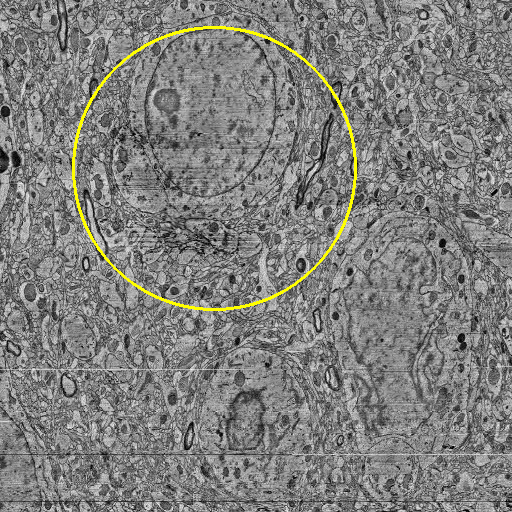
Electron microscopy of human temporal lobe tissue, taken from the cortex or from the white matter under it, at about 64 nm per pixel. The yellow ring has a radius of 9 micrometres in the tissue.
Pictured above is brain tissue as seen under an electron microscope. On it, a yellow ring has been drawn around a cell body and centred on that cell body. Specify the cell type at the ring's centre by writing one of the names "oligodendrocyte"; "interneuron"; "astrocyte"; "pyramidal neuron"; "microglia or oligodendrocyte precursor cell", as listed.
pyramidal neuron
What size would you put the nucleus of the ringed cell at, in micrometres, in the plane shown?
The nucleus has a long axis of about 11 micrometres and a short axis of about 8 micrometres in this plane.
